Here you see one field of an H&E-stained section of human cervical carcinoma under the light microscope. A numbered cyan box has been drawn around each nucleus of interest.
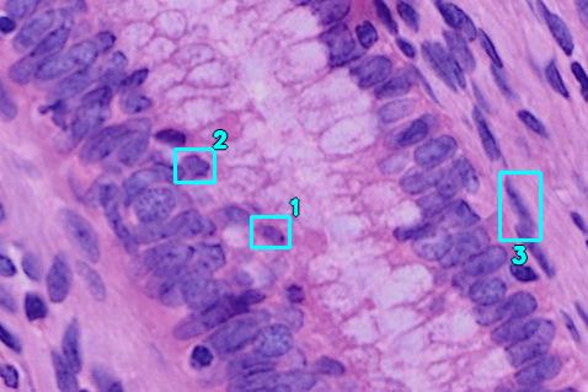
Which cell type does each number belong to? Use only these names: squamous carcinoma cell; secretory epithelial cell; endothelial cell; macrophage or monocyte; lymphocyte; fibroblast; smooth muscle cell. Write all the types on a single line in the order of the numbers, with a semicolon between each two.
secretory epithelial cell; secretory epithelial cell; fibroblast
